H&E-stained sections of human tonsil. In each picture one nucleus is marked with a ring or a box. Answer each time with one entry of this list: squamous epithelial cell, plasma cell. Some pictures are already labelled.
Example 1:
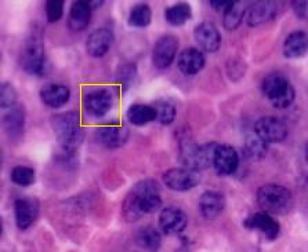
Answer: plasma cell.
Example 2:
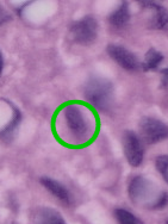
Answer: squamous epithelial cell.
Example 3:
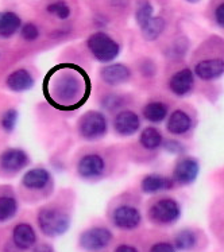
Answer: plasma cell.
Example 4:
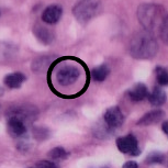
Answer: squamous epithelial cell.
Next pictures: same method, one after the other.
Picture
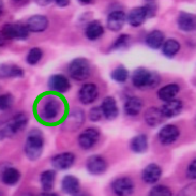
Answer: plasma cell.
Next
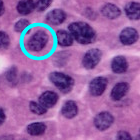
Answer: plasma cell.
